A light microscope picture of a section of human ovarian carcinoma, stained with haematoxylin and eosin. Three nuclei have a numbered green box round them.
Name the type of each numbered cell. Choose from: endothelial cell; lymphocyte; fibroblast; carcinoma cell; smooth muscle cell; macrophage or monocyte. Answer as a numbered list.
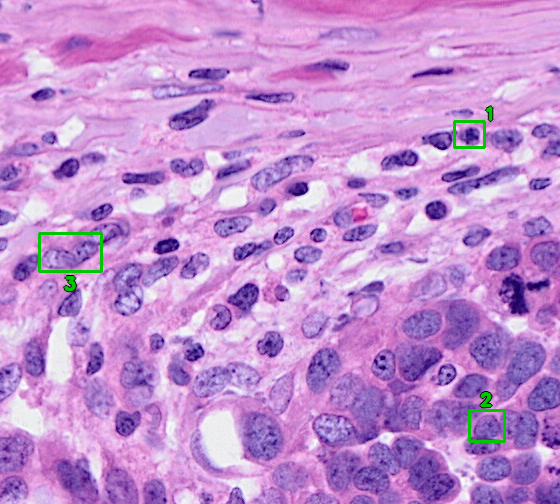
1. lymphocyte
2. carcinoma cell
3. endothelial cell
